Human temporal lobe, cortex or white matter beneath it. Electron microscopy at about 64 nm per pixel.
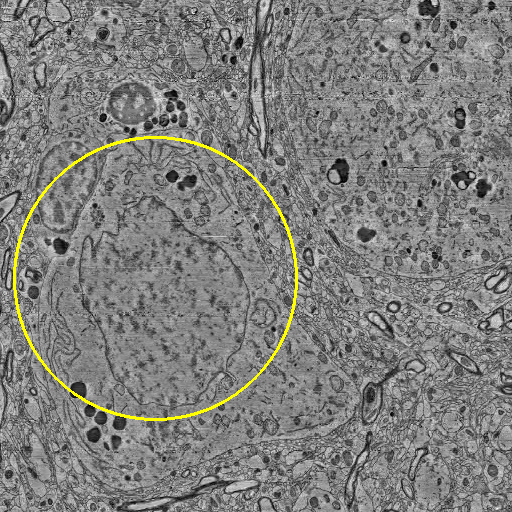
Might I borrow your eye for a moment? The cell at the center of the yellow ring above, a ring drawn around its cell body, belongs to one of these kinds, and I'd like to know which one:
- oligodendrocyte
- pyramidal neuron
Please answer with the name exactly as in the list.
pyramidal neuron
